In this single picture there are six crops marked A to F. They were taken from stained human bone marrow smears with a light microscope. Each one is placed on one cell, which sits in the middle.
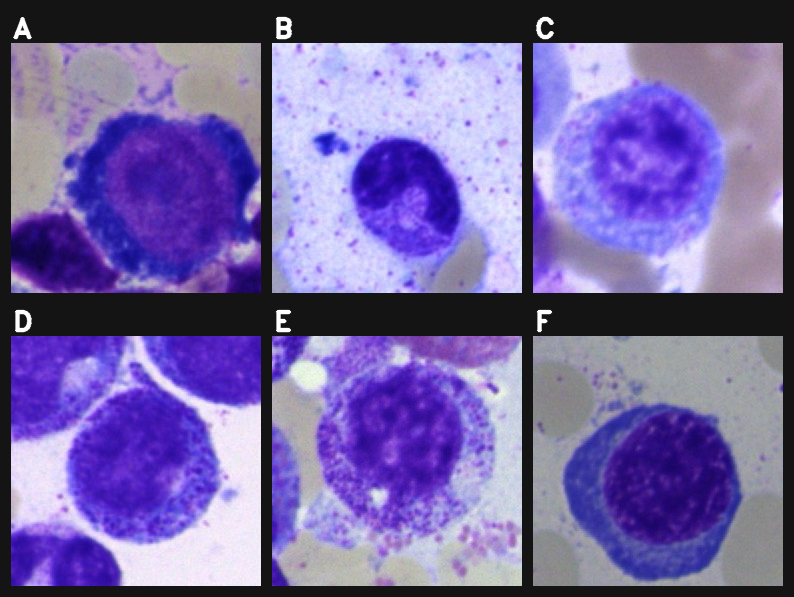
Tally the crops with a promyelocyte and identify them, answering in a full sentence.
Of all the crops, three show promyelocytes: C, D and E.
